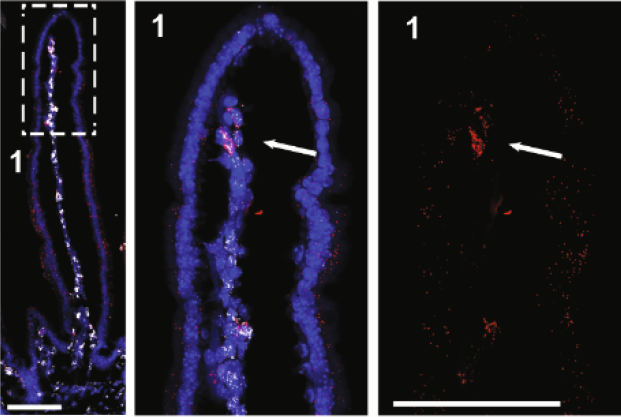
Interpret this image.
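A finger-like intestinal villus is shown, lined by a single layer of closely packed epithelial nuclei in blue around a narrower core of scattered cells. White dots run along the central core for most of the length of the villus. In the magnified tip, red dots cluster on cells inside the core near the top, beneath the epithelial lining, while the epithelial layer itself carries few red dots.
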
